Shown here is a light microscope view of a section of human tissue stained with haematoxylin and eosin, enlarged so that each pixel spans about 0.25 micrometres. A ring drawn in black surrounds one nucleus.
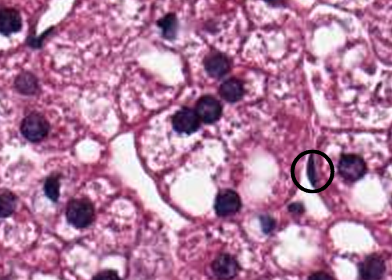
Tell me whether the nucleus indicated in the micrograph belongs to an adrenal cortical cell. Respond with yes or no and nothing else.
no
